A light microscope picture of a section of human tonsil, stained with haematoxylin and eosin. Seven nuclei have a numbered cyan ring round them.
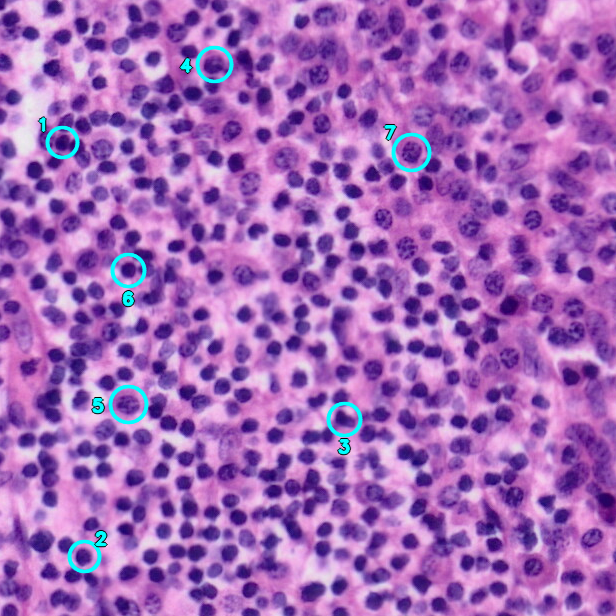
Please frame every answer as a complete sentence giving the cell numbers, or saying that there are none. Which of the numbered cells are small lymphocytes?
The cells picked out by numbers 1, 2, 3 and 6 are small lymphocytes.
